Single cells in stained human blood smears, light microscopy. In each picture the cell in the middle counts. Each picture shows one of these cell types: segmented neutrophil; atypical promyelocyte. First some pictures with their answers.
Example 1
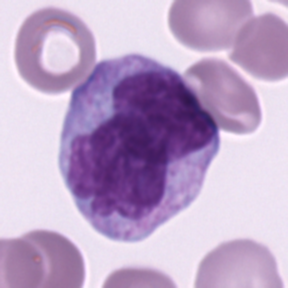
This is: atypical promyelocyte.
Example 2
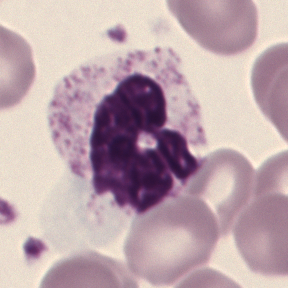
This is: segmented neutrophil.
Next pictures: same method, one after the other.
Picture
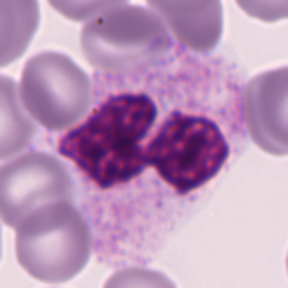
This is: segmented neutrophil.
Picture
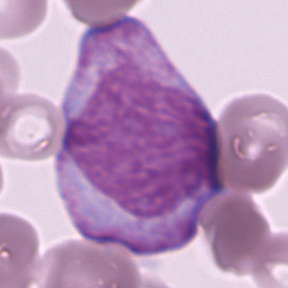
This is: atypical promyelocyte.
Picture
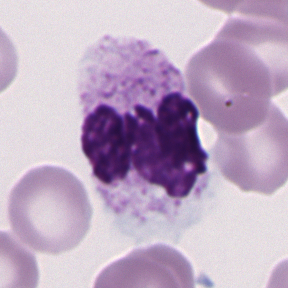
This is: segmented neutrophil.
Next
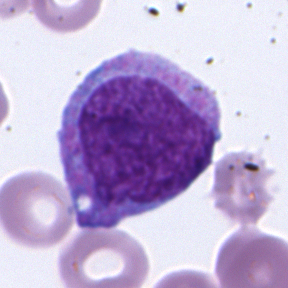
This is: atypical promyelocyte.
